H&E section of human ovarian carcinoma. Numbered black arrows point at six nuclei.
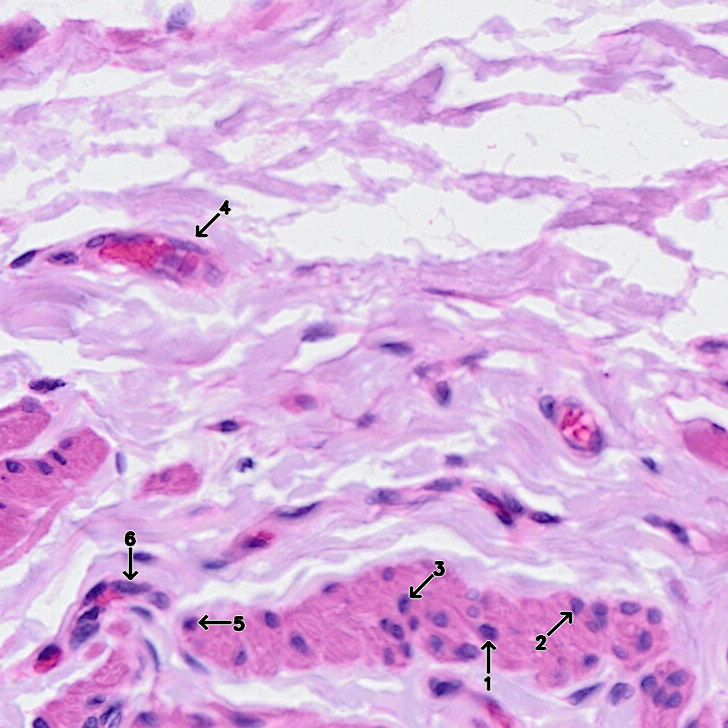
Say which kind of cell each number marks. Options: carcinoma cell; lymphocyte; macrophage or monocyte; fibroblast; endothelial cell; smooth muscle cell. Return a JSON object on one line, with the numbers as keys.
{"1": "smooth muscle cell", "2": "smooth muscle cell", "3": "smooth muscle cell", "4": "endothelial cell", "5": "smooth muscle cell", "6": "endothelial cell"}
